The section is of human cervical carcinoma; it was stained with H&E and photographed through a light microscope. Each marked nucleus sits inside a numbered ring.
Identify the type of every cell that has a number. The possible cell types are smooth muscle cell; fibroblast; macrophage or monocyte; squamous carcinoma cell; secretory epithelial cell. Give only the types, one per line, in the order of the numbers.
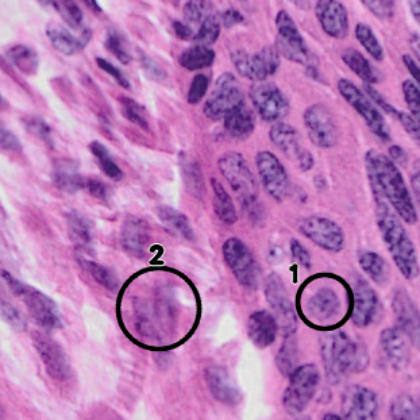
squamous carcinoma cell
fibroblast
